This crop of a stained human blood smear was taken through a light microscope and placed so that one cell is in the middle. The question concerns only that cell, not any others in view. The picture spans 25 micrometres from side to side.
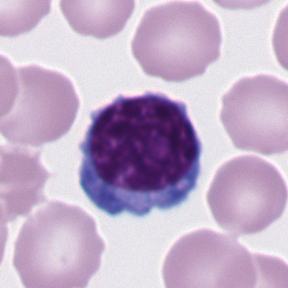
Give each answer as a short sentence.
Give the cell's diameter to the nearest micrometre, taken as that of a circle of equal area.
It measures about 11 micrometres across.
